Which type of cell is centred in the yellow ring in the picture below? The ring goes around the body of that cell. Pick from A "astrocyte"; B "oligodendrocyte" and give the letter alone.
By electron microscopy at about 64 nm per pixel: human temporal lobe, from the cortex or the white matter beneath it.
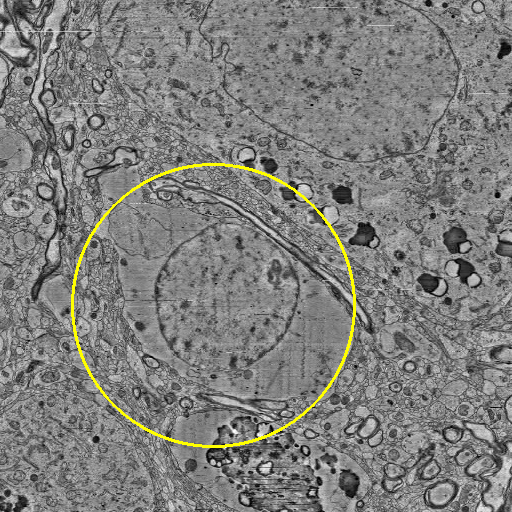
A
